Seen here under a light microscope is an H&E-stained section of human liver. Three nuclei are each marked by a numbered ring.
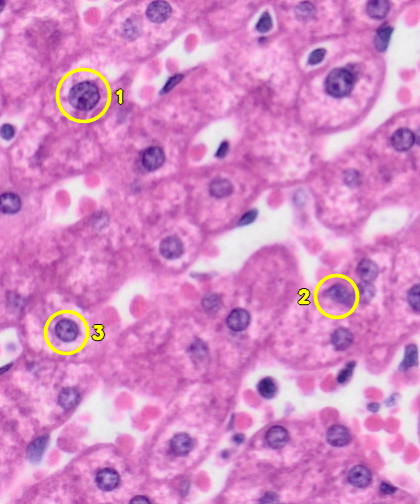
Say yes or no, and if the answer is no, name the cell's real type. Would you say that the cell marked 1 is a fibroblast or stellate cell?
No, it is a hepatocyte.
